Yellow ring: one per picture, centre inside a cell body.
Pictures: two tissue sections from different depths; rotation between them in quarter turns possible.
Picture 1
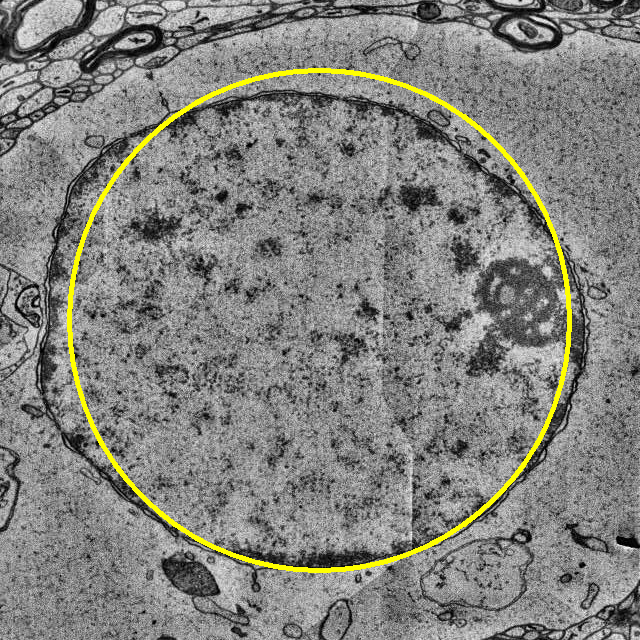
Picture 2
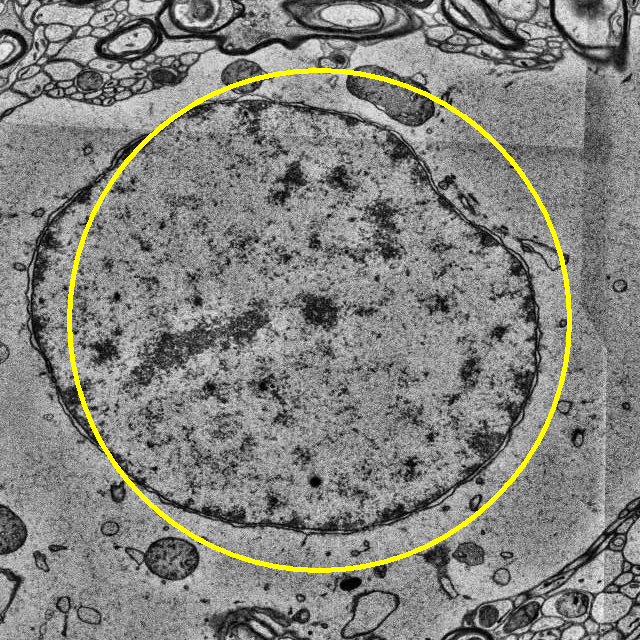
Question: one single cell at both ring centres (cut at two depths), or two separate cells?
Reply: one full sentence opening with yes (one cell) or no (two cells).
Yes, both circles in yellow pick out the same cell.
